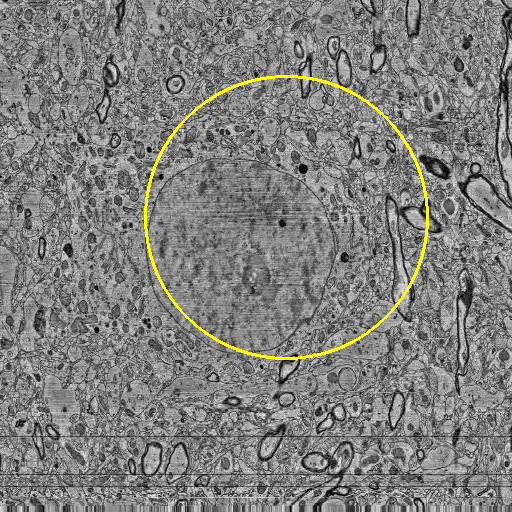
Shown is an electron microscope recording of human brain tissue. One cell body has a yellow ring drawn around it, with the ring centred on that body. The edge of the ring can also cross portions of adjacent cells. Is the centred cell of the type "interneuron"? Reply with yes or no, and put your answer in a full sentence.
Yes, in the picture, the cell on which the ring is centred has this type.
